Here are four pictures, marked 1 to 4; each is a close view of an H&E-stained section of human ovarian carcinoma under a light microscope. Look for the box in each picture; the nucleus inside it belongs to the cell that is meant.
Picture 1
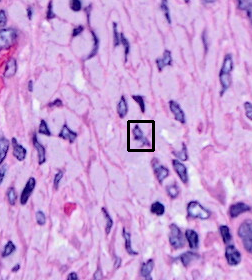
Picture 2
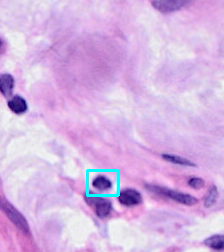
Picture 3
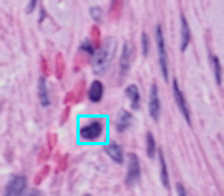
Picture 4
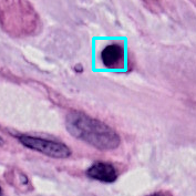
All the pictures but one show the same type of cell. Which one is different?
1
